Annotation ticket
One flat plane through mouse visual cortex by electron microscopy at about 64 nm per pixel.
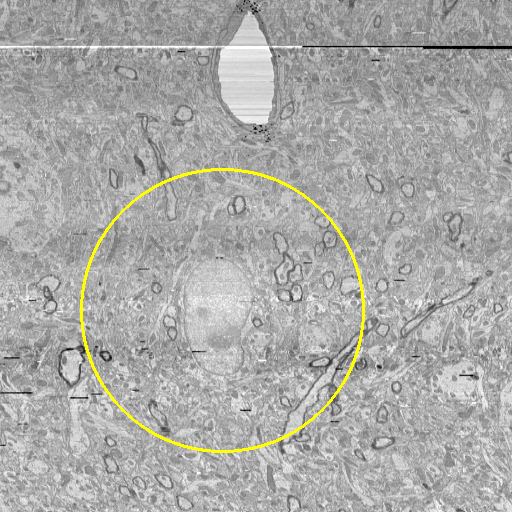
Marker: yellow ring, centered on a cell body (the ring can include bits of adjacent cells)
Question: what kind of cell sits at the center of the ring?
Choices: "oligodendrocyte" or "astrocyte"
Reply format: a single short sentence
The ring is centered on an astrocyte.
